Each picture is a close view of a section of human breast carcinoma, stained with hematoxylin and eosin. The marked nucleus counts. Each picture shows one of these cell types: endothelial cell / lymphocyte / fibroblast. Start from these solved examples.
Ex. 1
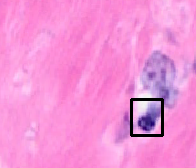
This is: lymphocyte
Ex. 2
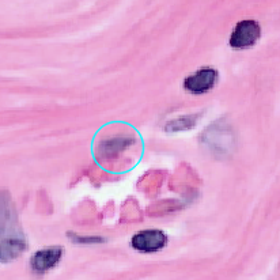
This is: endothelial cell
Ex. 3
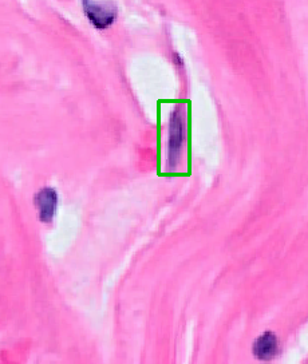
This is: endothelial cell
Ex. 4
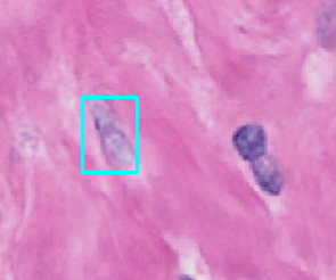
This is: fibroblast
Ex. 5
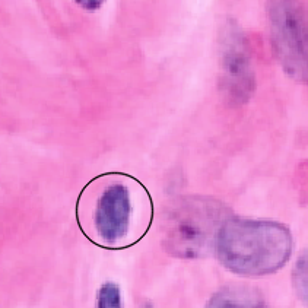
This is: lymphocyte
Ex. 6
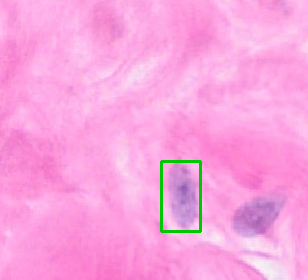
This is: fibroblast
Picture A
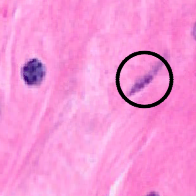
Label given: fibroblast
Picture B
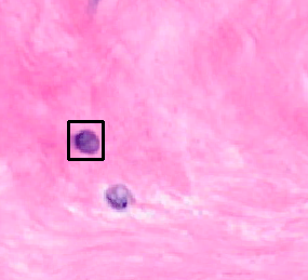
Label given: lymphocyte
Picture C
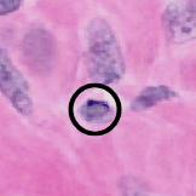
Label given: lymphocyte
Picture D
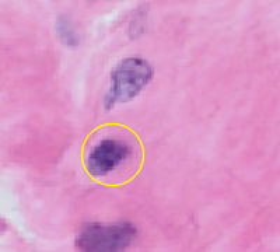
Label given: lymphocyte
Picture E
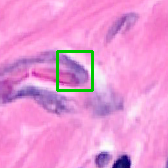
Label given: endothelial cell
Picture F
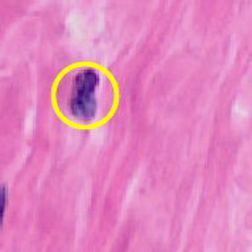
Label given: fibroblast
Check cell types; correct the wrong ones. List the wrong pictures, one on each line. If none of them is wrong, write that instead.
F: not fibroblast but lymphocyte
